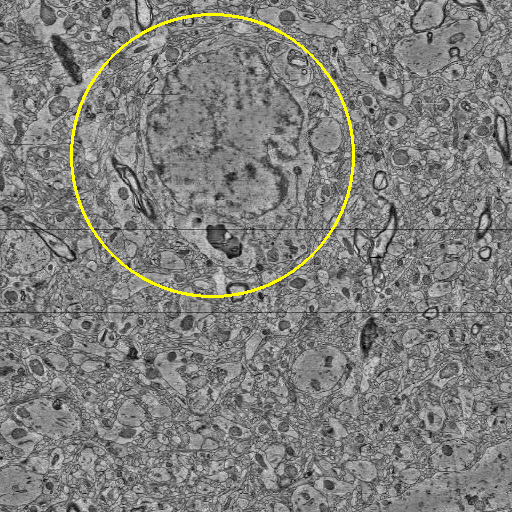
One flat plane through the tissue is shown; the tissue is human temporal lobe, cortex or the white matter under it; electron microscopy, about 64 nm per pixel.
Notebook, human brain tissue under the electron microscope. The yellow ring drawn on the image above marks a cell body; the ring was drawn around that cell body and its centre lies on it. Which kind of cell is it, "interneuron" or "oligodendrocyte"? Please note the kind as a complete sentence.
The marked cell body is that of an interneuron.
